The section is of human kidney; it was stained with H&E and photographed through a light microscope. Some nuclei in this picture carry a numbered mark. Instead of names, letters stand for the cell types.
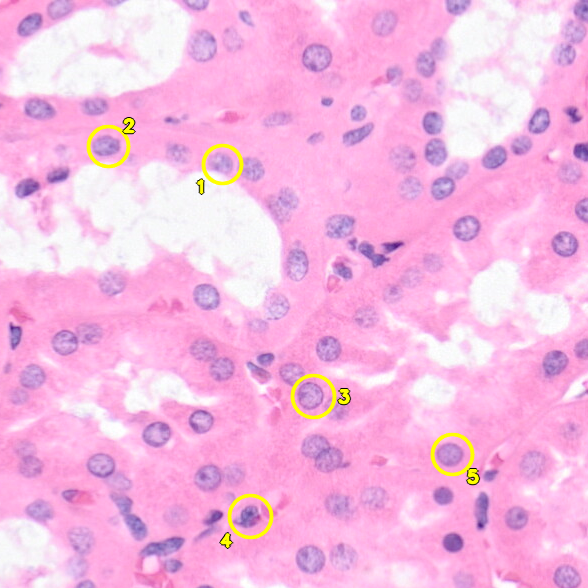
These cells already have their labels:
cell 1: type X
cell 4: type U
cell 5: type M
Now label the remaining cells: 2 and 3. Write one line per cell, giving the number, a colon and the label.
2: type X
3: type M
